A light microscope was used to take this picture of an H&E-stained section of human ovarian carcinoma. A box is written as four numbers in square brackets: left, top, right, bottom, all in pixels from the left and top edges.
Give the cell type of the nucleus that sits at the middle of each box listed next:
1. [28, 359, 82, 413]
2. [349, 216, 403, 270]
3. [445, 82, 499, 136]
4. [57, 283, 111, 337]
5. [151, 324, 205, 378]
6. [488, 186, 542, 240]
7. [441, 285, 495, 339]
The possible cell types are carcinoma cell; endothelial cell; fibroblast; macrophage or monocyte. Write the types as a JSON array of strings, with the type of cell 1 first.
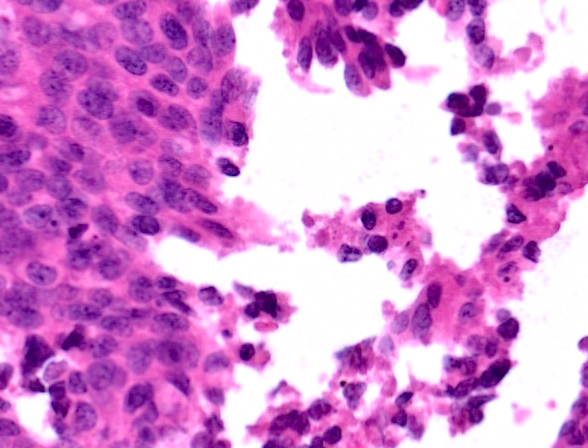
["carcinoma cell", "macrophage or monocyte", "carcinoma cell", "carcinoma cell", "carcinoma cell", "macrophage or monocyte", "macrophage or monocyte"]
